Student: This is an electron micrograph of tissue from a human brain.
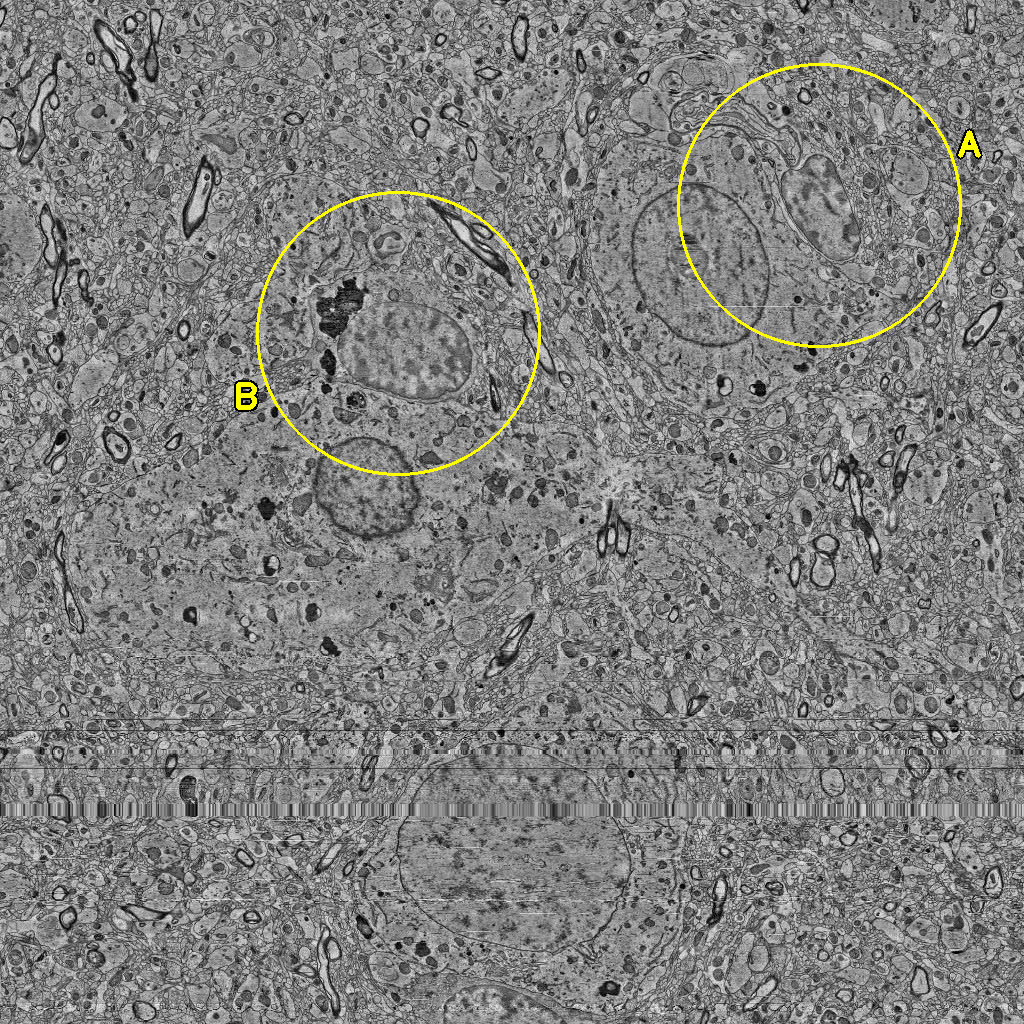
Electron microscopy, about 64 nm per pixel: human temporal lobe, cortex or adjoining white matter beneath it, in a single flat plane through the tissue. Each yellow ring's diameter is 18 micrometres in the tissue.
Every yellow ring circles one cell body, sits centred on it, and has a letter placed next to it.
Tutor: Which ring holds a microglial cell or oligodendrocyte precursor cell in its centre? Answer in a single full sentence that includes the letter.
Ring A is the ring whose centre holds the cell asked for in the picture.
